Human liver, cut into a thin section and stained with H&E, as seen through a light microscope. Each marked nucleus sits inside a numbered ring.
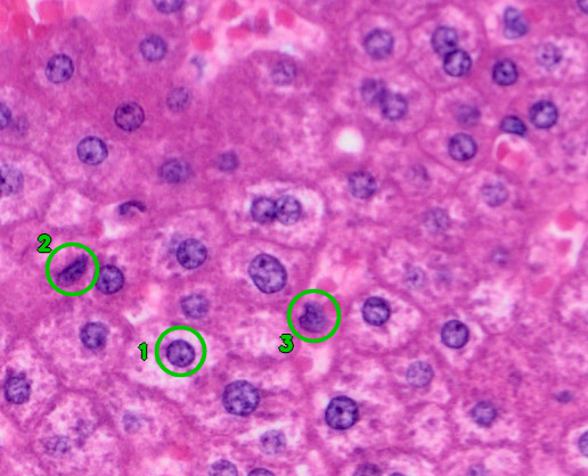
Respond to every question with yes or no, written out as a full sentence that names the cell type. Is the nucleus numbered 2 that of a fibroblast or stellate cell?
Yes, the cell that number 2 points to is a fibroblast or stellate cell.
